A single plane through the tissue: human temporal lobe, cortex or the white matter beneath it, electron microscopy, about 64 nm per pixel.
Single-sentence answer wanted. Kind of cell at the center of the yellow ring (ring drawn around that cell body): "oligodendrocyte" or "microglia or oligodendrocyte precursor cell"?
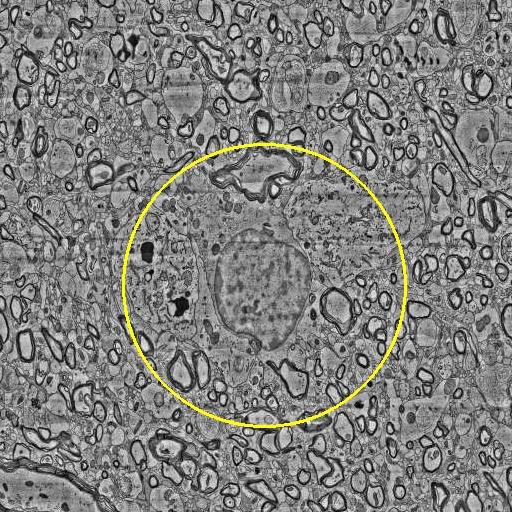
The cell centered in the ring is an oligodendrocyte.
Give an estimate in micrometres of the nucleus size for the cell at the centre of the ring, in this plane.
In this plane, the nucleus of the cell at the centre of the ring measures about 8 by 6 micrometres.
